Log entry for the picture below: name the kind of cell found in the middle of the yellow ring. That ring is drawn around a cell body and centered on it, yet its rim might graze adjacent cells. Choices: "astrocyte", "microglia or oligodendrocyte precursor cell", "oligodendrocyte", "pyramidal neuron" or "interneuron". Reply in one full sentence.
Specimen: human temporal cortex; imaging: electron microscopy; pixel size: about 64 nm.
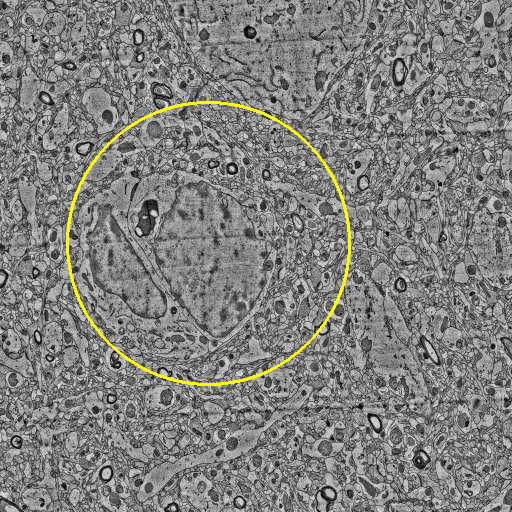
The cell in the middle of the yellow ring in this picture is an interneuron.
